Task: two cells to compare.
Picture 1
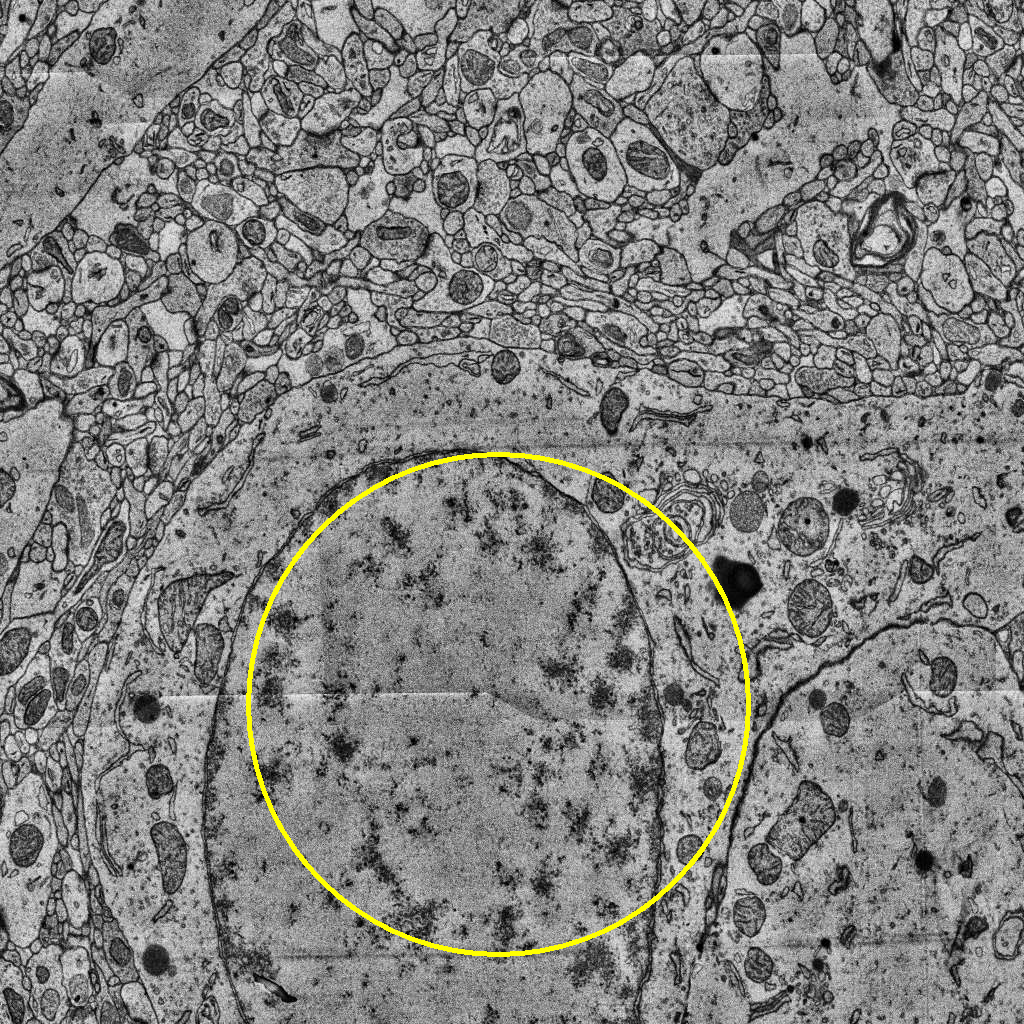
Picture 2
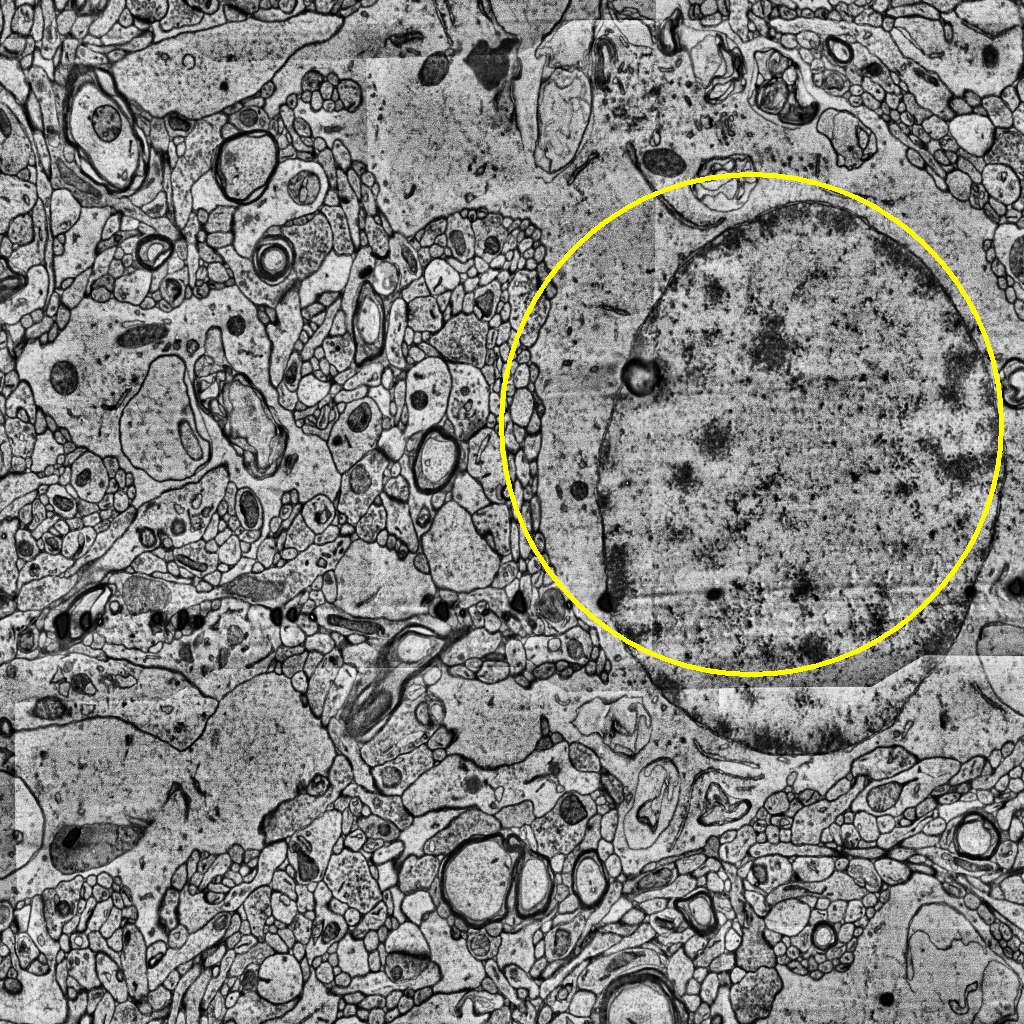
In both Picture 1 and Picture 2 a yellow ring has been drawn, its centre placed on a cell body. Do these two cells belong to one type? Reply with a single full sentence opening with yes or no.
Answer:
No, the two cells at the ring centres in Picture 1 and Picture 2 are of two types.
